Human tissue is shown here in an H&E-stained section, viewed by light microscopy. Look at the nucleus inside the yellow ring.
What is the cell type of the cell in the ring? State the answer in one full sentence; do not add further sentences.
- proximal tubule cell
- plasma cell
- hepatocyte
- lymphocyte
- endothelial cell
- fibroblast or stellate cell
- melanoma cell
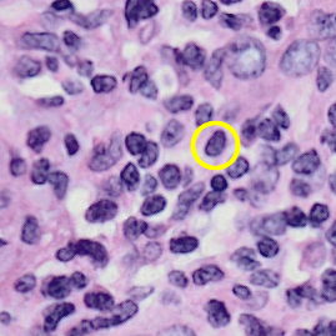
Within the stained tissue, the cell in the ring is a lymphocyte.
